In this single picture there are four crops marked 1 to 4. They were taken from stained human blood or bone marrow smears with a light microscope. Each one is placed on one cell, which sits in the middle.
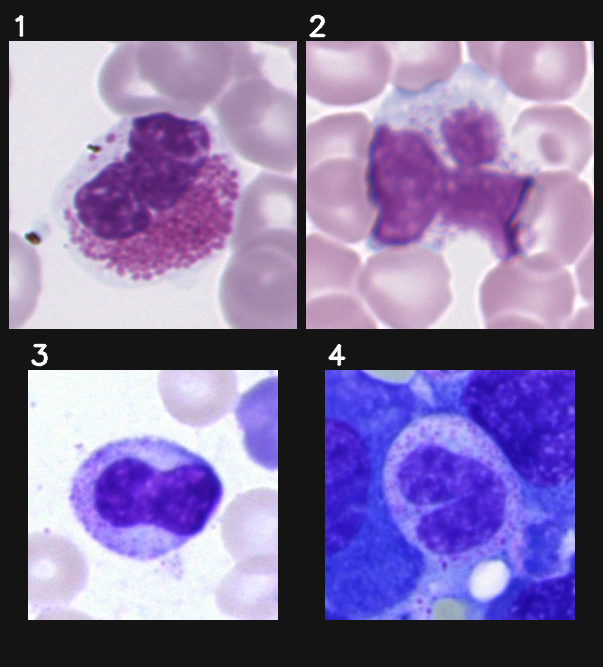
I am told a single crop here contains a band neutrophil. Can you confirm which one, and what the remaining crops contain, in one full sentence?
Crop 4 shows a band neutrophil, while in contrast crop 1 is an eosinophil, crop 2 is a monocyte and crop 3 is a metamyelocyte.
